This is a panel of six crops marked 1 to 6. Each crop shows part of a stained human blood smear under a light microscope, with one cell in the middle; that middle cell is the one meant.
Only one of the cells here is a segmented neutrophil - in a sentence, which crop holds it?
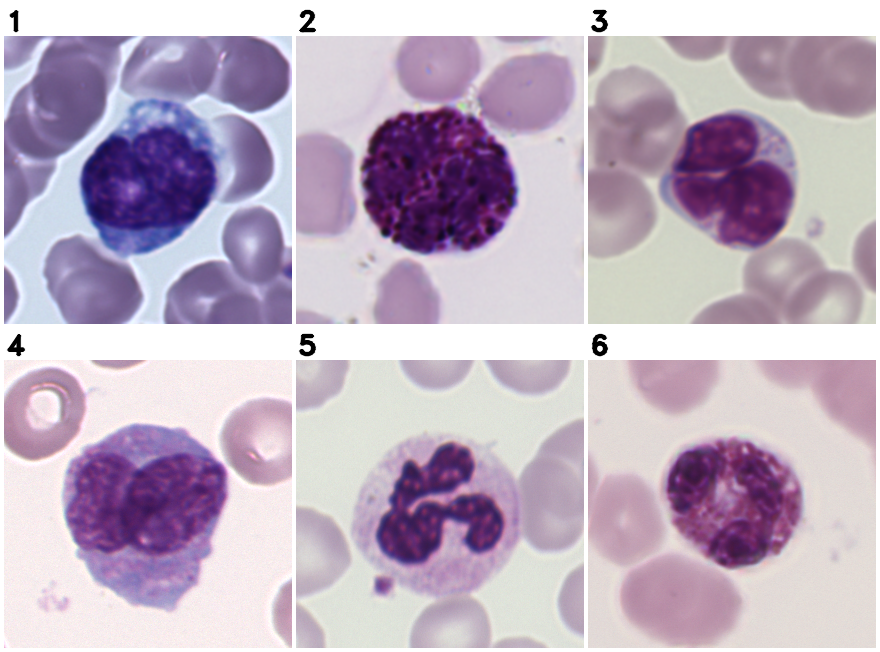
Crop 5 is identified as the crop showing a segmented neutrophil.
